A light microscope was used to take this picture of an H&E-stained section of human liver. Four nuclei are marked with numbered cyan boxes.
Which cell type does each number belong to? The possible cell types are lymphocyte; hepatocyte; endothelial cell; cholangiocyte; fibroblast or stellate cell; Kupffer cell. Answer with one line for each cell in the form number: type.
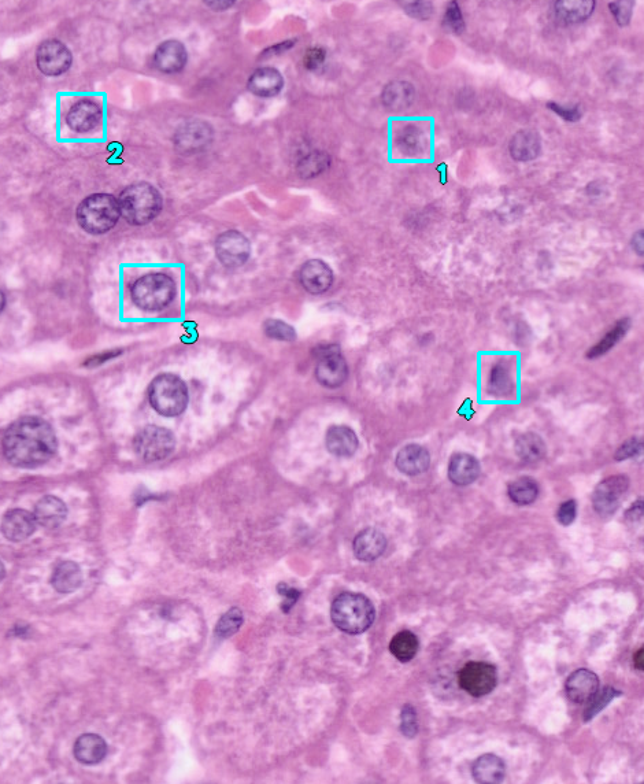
1: hepatocyte
2: hepatocyte
3: hepatocyte
4: endothelial cell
